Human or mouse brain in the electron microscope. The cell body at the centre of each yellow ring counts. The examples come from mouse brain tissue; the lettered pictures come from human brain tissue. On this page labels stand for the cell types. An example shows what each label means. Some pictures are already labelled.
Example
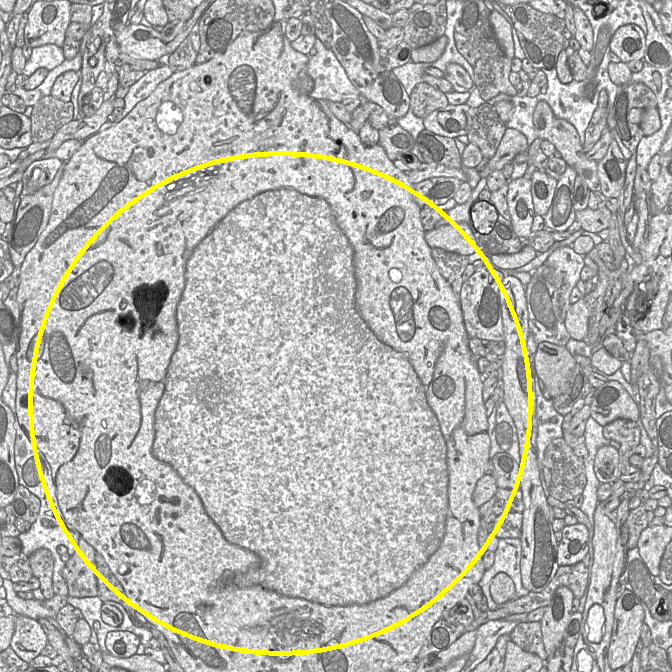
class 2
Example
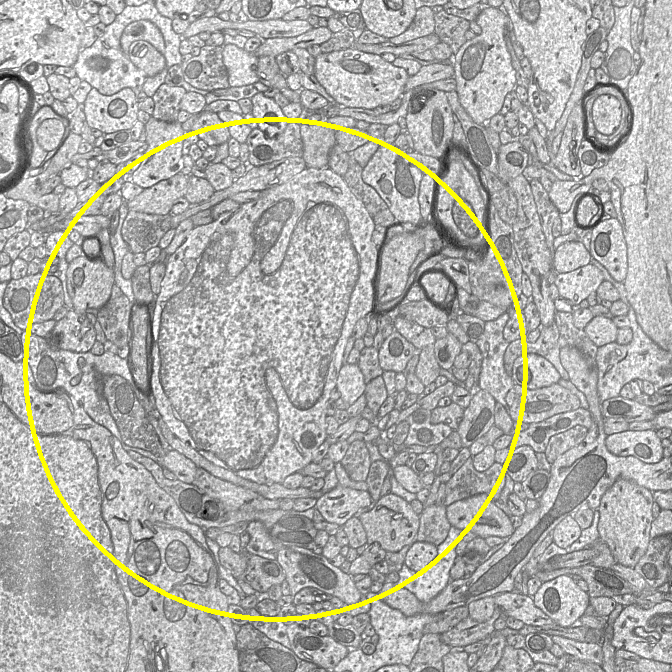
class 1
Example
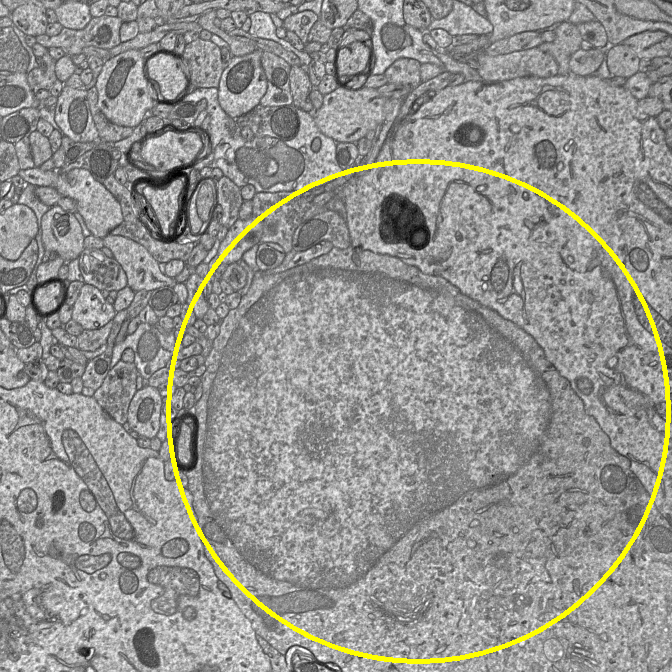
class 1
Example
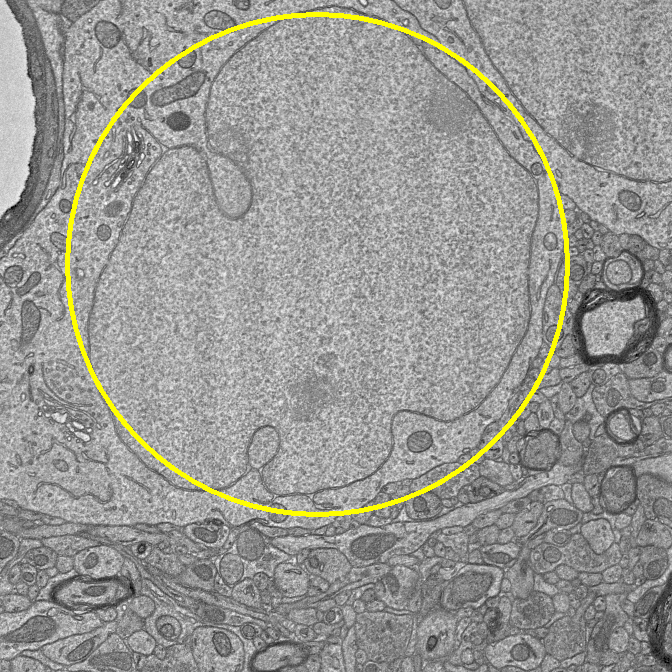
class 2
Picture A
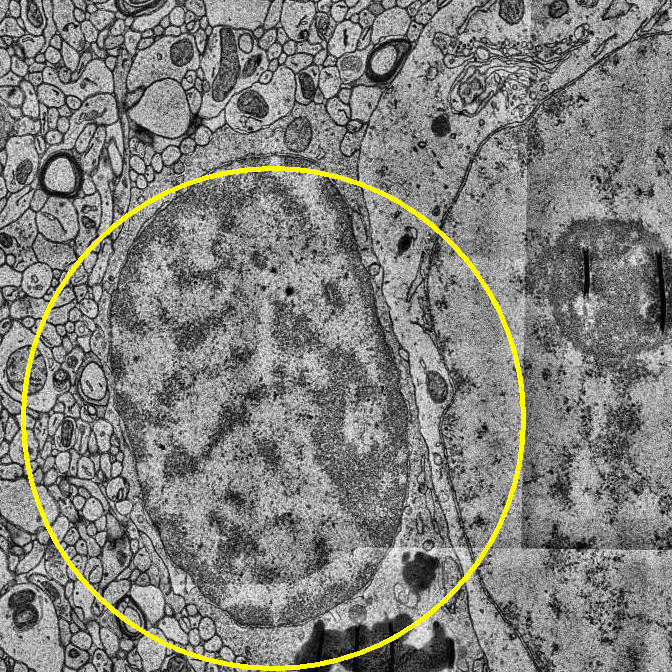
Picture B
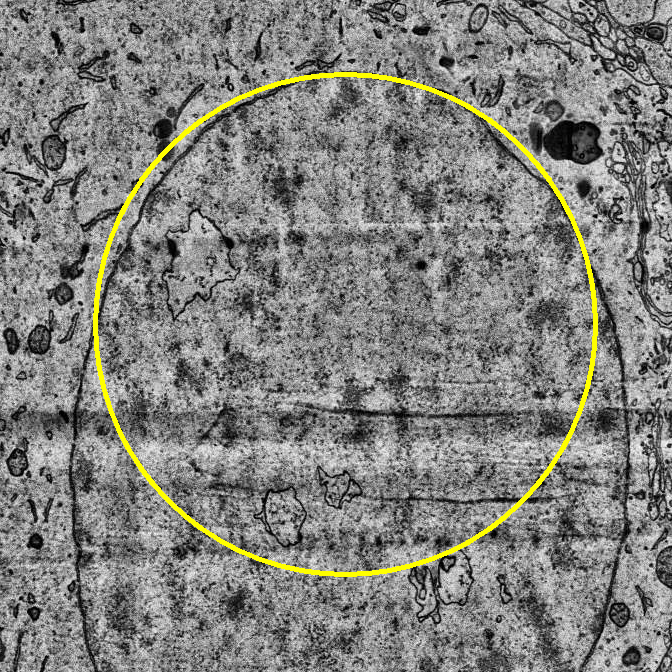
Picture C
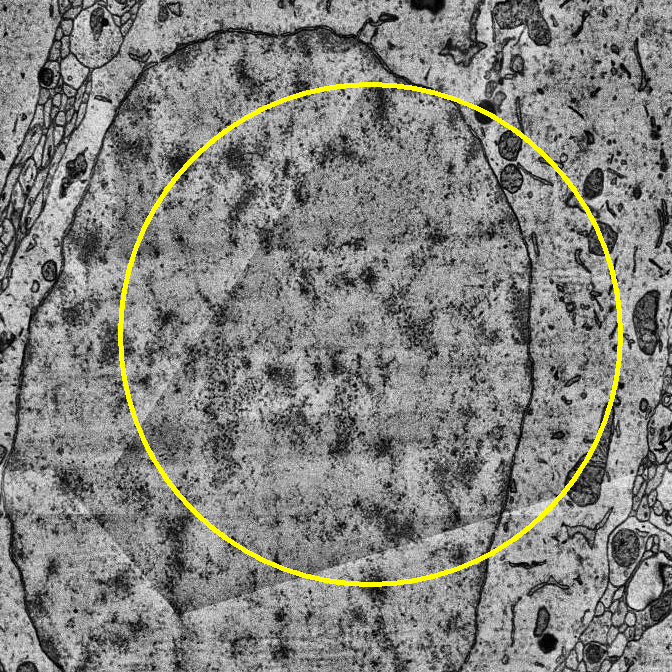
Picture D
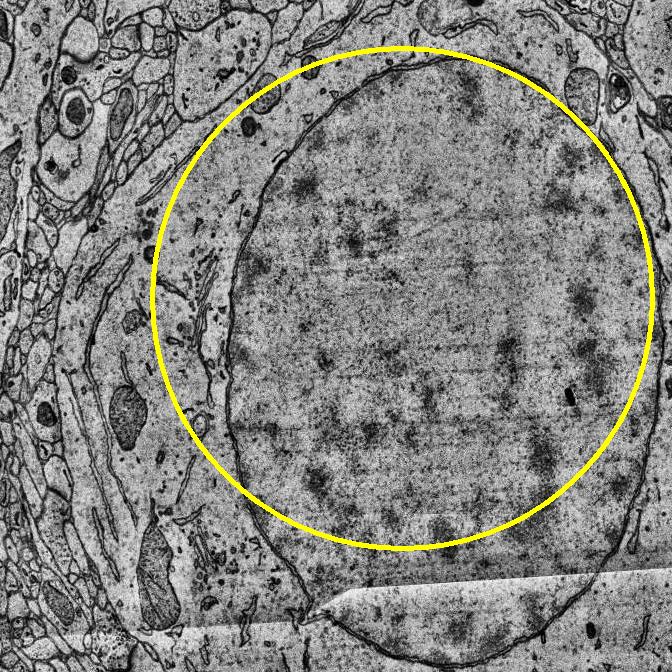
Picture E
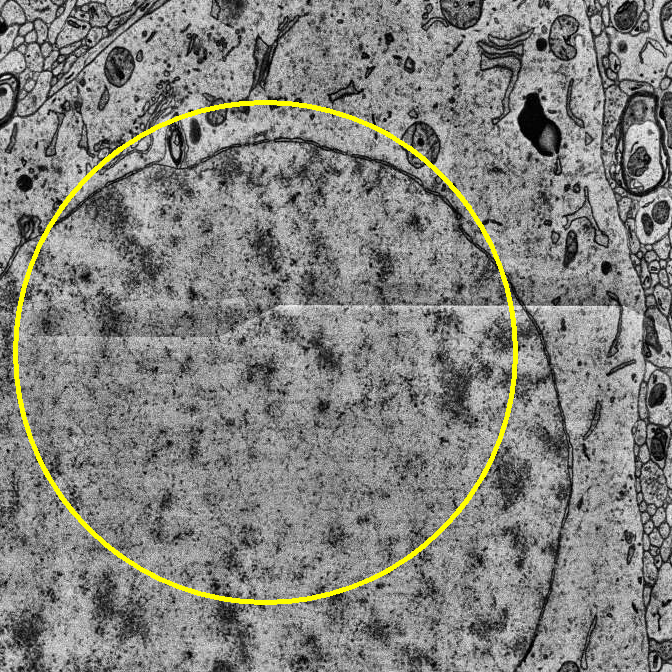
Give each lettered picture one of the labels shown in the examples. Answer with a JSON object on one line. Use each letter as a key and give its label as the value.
{"A": "class 1", "B": "class 2", "C": "class 2", "D": "class 2", "E": "class 2"}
